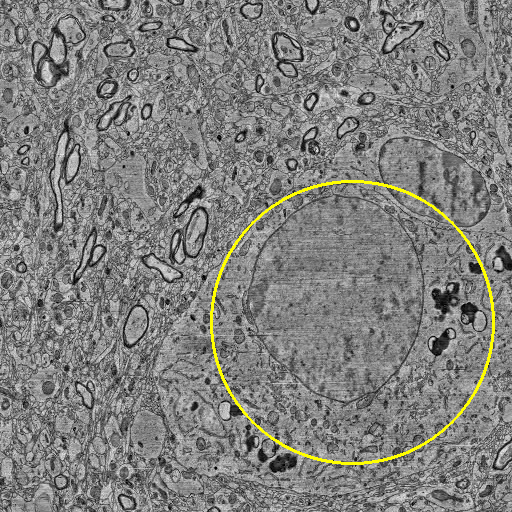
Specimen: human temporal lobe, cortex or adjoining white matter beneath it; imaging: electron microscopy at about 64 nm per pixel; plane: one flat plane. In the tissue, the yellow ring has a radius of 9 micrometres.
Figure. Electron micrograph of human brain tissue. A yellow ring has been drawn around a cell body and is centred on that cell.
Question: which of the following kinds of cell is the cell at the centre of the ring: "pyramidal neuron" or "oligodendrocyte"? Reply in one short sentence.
The cell at the centre of the ring is a pyramidal neuron.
